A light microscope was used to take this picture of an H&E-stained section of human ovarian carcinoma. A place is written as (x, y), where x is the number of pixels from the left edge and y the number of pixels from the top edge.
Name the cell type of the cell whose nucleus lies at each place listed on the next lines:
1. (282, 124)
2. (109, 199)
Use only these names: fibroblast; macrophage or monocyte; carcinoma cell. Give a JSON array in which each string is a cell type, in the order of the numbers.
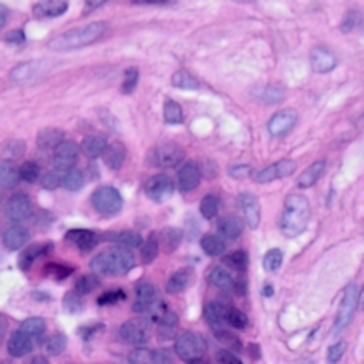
["fibroblast", "carcinoma cell"]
